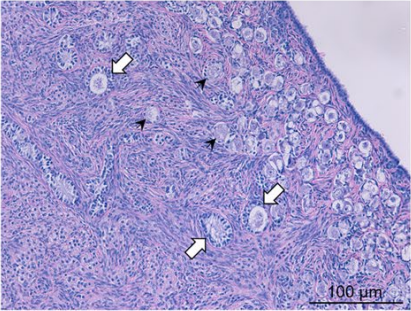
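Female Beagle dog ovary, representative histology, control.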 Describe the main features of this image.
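Ovarian cortex with follicles set in a dense stroma of spindle-shaped cells. Near the surface, many small round pale oocytes lie crowded in the outer cortex. Smaller follicles lie scattered among the streaming stromal cells. A thin surface epithelium covers the cortex at the right edge.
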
